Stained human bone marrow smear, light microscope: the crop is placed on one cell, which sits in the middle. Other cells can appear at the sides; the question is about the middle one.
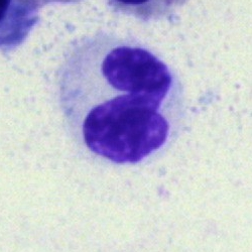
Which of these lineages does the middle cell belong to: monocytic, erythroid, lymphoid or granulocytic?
granulocytic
